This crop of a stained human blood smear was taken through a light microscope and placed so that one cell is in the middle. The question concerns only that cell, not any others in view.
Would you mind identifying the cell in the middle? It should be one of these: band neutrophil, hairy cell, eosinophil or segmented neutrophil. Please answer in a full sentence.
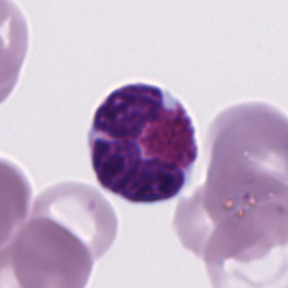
As for the central cell, it is an eosinophil.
